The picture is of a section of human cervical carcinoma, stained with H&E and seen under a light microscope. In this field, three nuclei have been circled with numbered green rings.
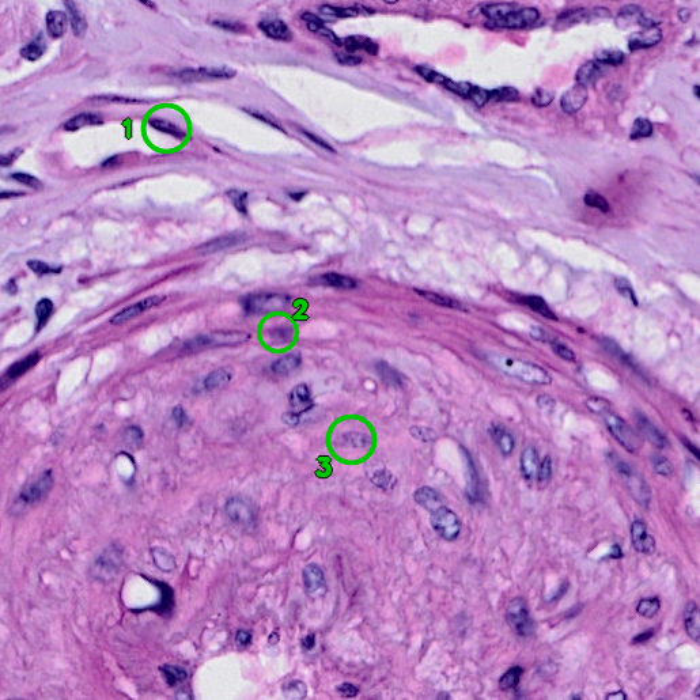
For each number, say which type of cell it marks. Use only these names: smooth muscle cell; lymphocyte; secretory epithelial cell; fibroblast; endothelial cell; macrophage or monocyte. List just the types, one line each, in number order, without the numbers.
endothelial cell
smooth muscle cell
smooth muscle cell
